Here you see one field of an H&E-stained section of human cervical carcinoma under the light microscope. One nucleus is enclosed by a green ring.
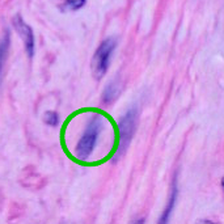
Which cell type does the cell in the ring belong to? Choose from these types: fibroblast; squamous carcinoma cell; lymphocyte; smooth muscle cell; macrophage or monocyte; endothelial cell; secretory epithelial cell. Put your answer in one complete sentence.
So far as cell type goes, the cell in the ring is a smooth muscle cell.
